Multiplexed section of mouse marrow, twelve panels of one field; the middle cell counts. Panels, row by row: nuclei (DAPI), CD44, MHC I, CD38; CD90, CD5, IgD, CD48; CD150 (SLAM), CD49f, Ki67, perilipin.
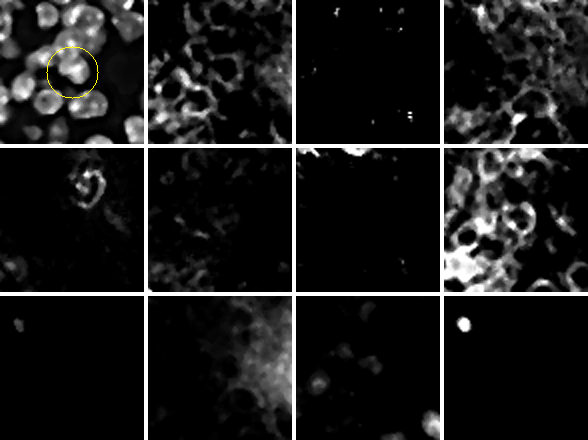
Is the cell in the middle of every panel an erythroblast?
No, it is a monocyte.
